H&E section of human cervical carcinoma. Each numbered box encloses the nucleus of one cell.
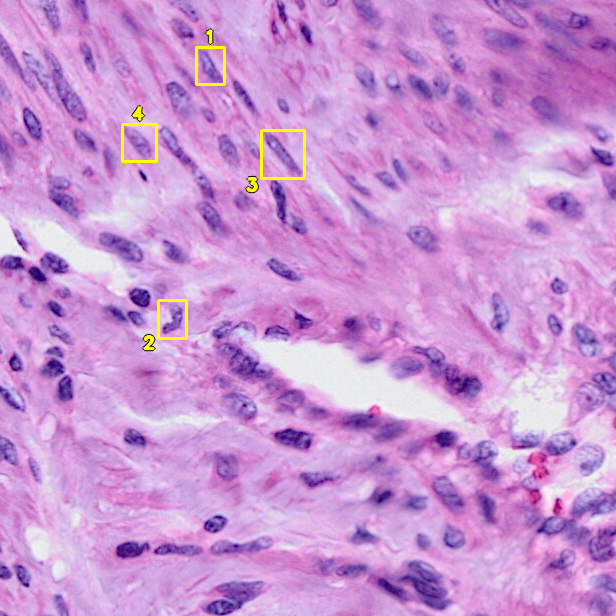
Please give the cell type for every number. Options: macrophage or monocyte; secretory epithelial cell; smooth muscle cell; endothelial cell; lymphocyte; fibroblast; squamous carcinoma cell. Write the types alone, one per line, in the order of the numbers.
smooth muscle cell
macrophage or monocyte
smooth muscle cell
smooth muscle cell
